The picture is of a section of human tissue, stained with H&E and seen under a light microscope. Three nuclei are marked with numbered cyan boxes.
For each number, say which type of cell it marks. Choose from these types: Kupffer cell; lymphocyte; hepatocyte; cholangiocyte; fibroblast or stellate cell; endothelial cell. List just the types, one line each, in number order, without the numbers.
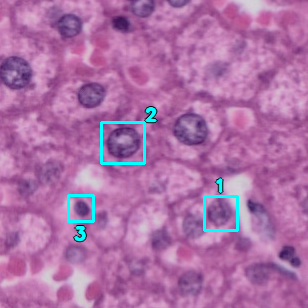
hepatocyte
hepatocyte
lymphocyte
